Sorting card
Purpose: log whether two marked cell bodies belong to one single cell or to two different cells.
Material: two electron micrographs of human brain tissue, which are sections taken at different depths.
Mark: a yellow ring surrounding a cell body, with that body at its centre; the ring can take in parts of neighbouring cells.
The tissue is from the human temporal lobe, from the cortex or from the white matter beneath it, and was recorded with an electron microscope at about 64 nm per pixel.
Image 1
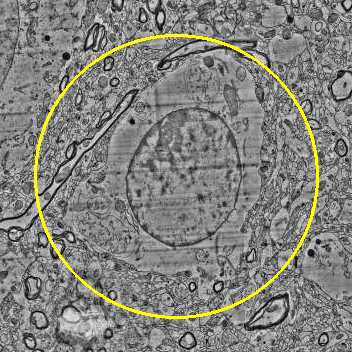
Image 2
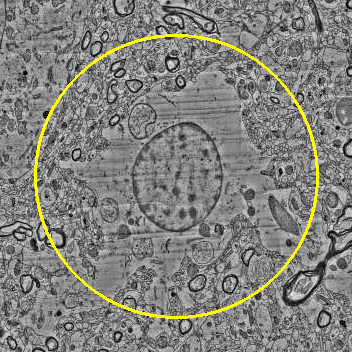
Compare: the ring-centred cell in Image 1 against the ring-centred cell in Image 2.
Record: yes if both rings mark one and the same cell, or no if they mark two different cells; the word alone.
yes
